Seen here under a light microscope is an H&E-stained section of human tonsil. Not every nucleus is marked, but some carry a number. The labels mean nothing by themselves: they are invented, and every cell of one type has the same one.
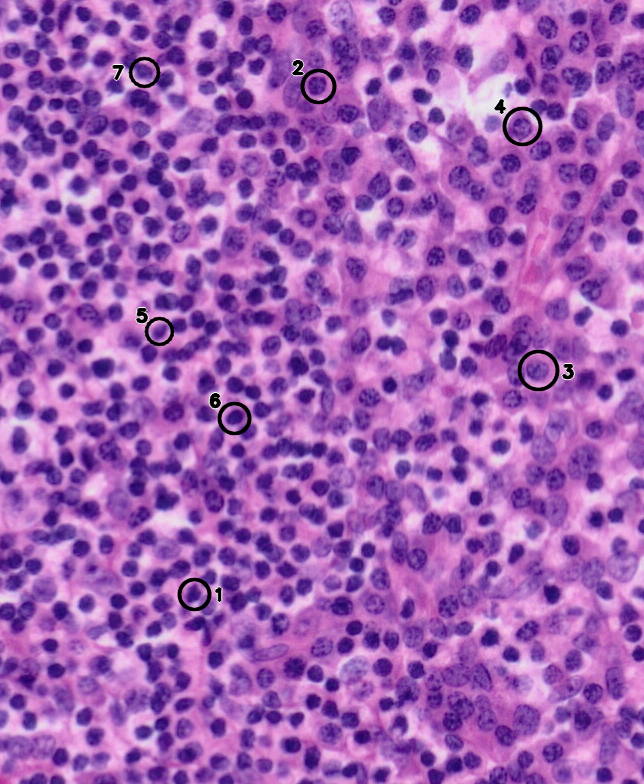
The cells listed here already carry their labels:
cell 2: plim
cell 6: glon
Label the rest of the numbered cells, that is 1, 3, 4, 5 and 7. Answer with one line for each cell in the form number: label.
1: glon
3: plim
4: plim
5: glon
7: glon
